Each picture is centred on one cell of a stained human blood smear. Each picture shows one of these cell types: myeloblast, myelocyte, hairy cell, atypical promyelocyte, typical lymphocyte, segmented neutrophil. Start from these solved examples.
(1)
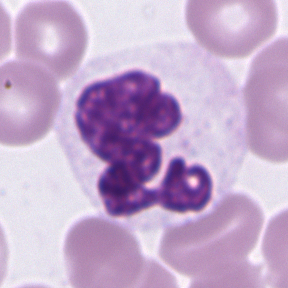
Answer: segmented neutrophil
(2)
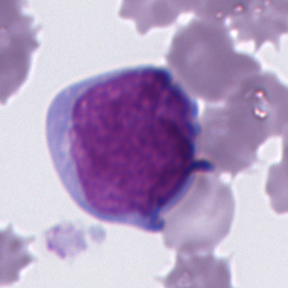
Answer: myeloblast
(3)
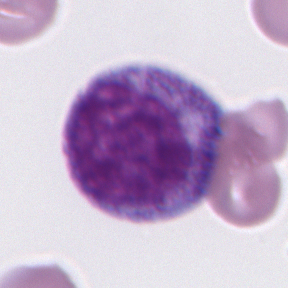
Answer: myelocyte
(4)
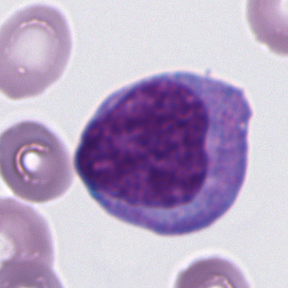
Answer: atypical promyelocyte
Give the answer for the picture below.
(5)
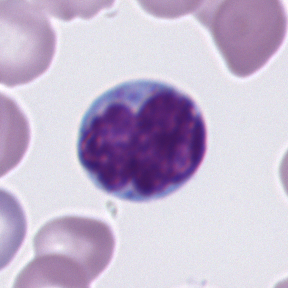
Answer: typical lymphocyte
